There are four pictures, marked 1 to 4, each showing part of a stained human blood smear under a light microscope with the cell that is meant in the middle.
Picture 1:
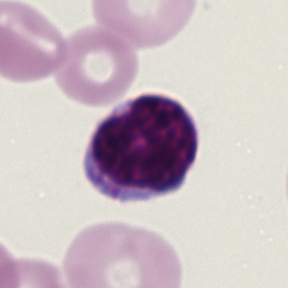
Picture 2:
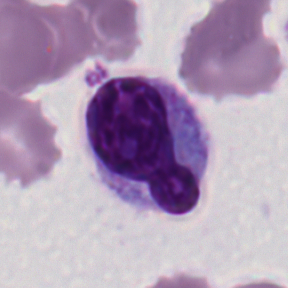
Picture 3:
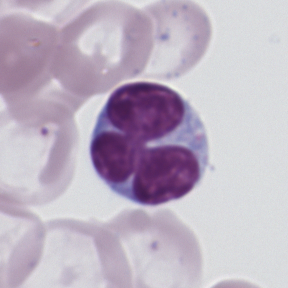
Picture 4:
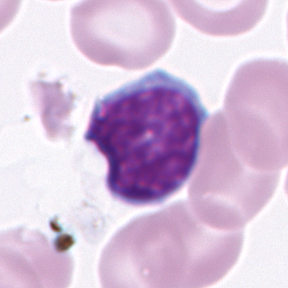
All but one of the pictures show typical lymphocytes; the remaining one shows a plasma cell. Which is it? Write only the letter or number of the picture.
2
